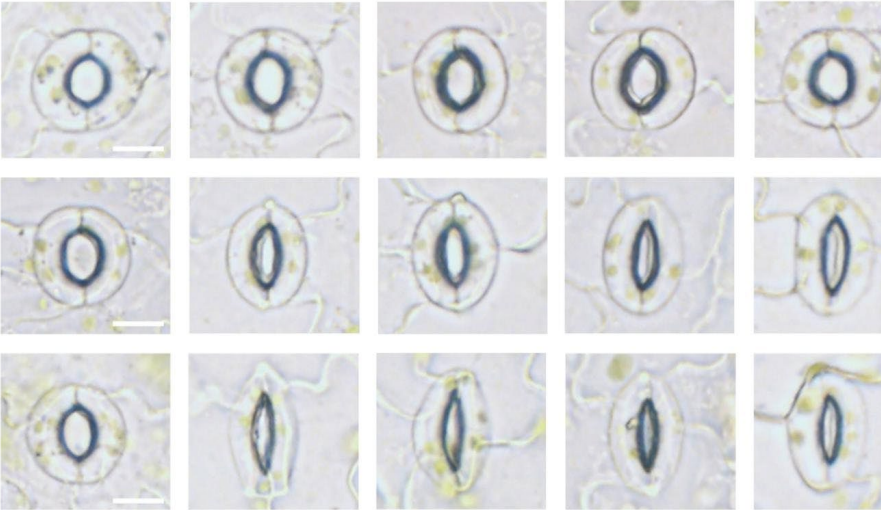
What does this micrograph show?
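These are views of leaf epidermis, each centred on a single stoma formed by two kidney-shaped guard cells that enclose a central pore. The guard cells carry small yellow-green granules in their cytoplasm, and the thickened inner walls lining the pore appear dark. Around each stoma lie epidermal pavement cells with thin, wavy walls. In some images the pore is wide and nearly round, while in others it has narrowed to a thin slit between the guard cells. The whole pair of guard cells looks more elongated and slender where the pore is slit-like.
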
